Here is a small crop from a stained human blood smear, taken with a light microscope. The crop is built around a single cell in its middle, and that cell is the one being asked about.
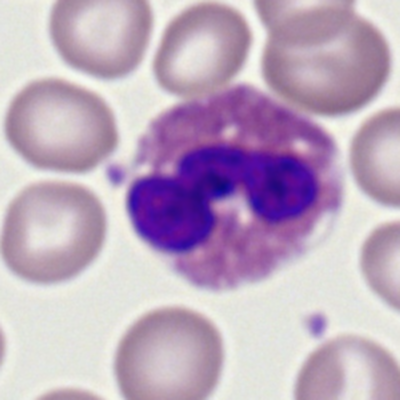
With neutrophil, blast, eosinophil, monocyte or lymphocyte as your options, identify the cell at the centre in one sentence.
In this smear crop, the middle cell is an eosinophil.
